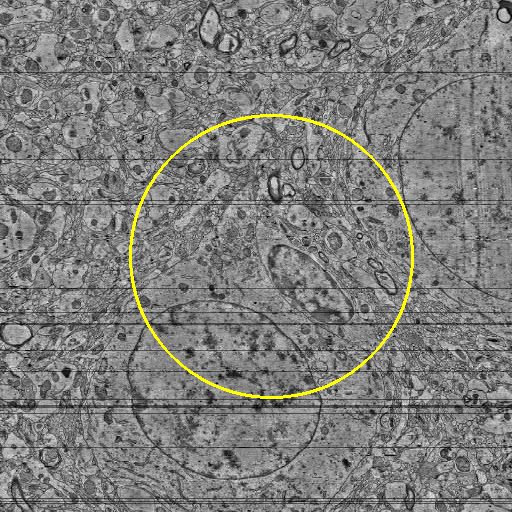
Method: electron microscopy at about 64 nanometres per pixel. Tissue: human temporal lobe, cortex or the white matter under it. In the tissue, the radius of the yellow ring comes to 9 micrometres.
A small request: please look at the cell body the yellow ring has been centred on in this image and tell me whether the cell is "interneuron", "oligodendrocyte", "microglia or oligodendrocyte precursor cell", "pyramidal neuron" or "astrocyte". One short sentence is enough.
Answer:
The cell marked by the ring is a microglial cell or oligodendrocyte precursor cell.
